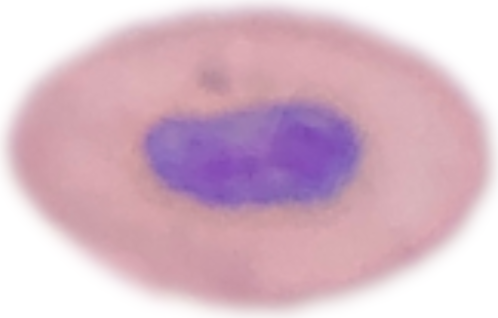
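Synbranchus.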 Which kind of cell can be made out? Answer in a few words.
Red Blood Cell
